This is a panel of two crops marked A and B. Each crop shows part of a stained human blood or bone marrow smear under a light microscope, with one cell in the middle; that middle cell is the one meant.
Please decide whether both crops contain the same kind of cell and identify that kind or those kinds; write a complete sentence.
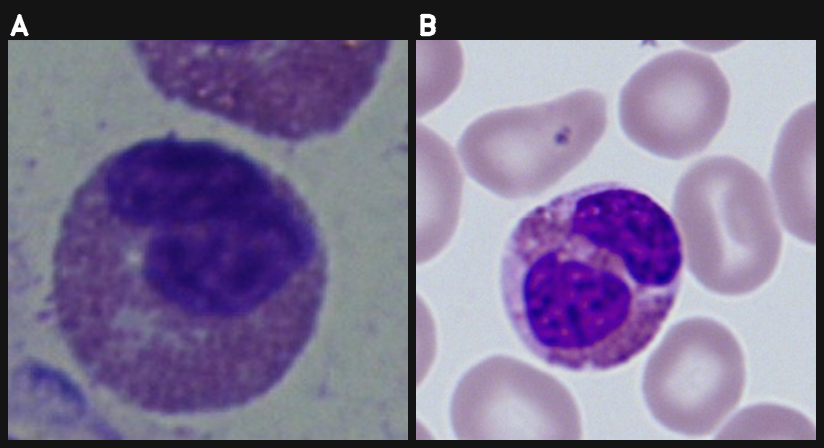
Yes, the cells that both crops show at the centre are eosinophils.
